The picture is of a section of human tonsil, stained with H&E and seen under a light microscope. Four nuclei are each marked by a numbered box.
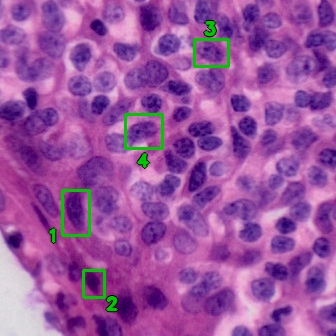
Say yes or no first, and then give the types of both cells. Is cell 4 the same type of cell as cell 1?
Yes, both are squamous epithelial cells.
